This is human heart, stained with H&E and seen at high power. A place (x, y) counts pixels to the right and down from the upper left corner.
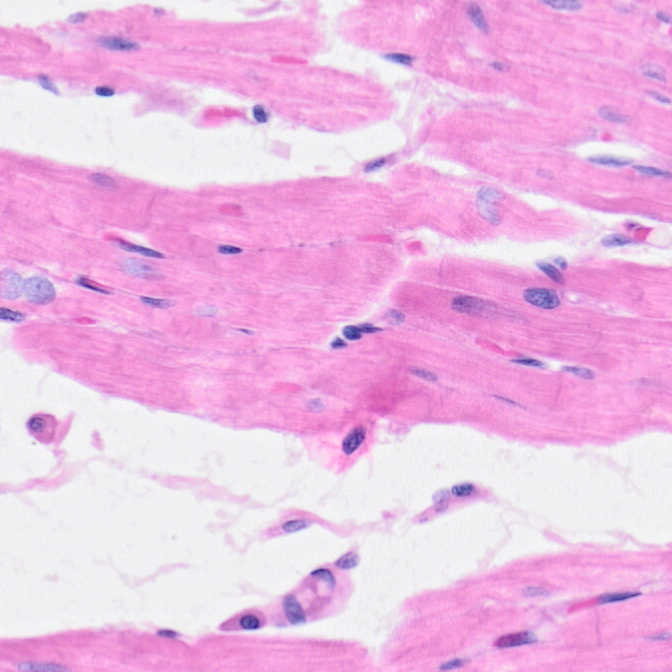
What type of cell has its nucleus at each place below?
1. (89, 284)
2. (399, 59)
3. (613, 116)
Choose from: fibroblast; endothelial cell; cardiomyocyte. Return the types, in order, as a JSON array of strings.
["endothelial cell", "endothelial cell", "cardiomyocyte"]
